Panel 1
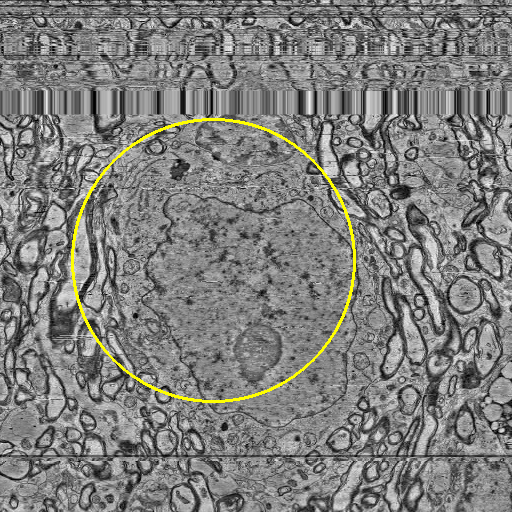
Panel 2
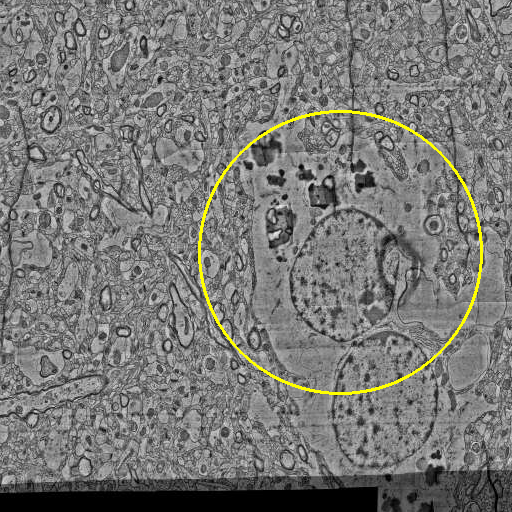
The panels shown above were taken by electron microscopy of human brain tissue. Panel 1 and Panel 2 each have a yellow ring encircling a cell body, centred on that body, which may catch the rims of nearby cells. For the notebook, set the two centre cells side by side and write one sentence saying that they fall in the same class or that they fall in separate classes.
The centred cells of Panel 1 and Panel 2 fall in separate classes.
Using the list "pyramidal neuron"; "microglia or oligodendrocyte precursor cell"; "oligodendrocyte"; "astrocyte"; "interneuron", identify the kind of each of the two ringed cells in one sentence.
The first is a pyramidal neuron and the second is an astrocyte.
